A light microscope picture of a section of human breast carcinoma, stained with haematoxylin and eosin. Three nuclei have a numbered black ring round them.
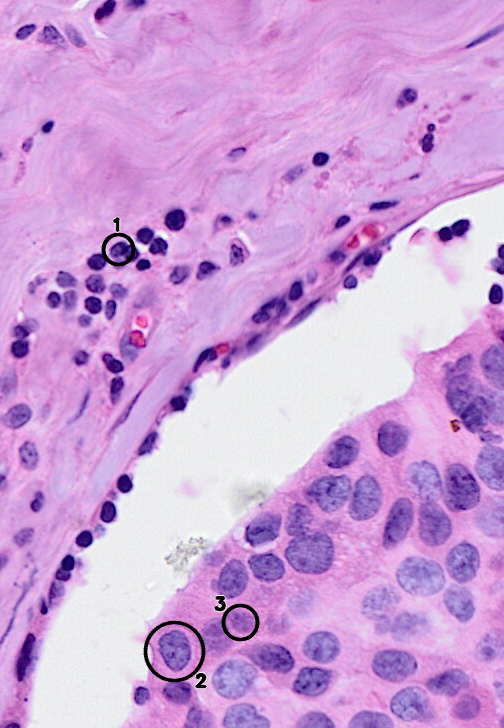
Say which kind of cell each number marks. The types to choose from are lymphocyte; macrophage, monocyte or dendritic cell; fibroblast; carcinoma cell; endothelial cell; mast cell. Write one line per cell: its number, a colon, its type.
1: lymphocyte
2: carcinoma cell
3: carcinoma cell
